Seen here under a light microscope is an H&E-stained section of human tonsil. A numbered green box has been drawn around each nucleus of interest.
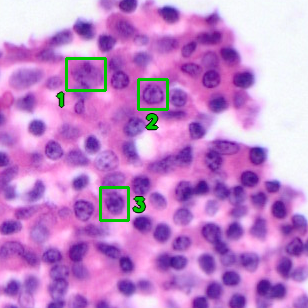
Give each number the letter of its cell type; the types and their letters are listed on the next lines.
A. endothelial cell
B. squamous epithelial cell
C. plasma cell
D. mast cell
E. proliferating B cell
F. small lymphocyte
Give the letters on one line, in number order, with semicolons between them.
B; C; C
